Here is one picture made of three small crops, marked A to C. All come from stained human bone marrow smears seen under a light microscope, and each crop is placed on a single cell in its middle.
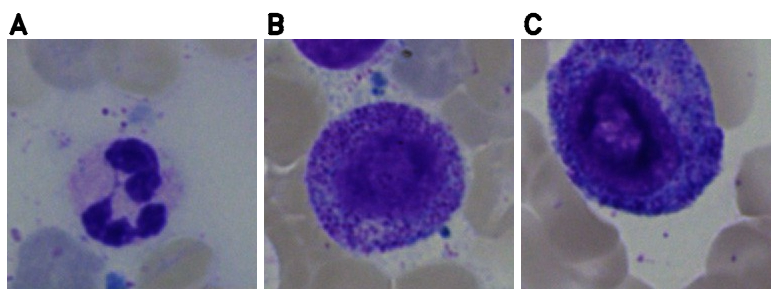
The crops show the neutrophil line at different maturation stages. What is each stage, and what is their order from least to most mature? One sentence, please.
The crops, ordered from least to most mature, are crop C (a promyelocyte), crop B (a myelocyte) and crop A (a segmented neutrophil).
